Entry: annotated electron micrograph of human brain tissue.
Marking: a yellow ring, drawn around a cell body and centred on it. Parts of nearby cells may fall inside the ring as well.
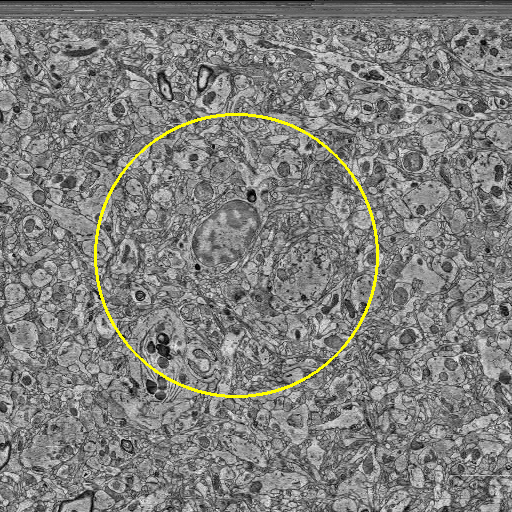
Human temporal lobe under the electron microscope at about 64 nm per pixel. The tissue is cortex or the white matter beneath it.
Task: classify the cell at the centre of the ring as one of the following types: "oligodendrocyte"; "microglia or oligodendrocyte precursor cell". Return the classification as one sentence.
The marked cell is classified as a microglial cell or oligodendrocyte precursor cell.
